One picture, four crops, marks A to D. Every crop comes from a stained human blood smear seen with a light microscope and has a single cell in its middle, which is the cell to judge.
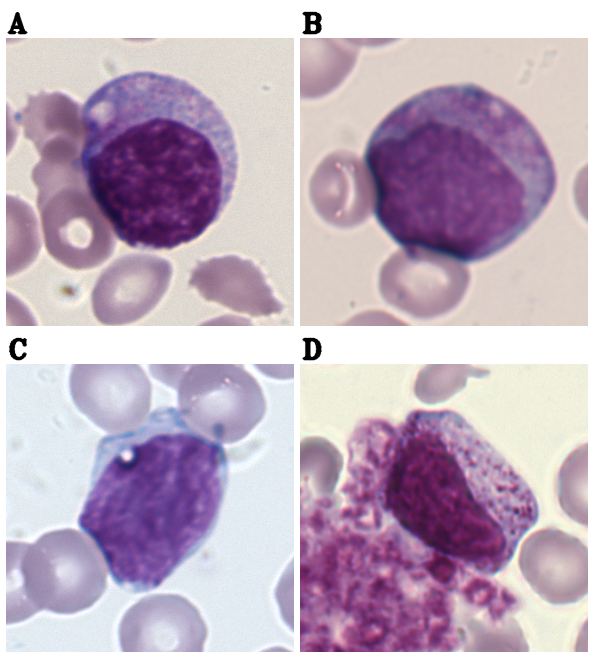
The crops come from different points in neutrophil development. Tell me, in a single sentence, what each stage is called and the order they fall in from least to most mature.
What results from ordering by maturity, least to most, is crop C (a myeloblast), crop B (a promyelocyte), crop A (a myelocyte) and crop D (a metamyelocyte).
